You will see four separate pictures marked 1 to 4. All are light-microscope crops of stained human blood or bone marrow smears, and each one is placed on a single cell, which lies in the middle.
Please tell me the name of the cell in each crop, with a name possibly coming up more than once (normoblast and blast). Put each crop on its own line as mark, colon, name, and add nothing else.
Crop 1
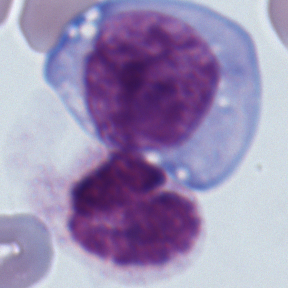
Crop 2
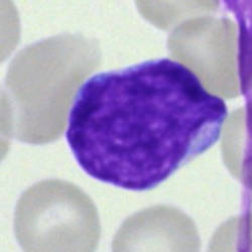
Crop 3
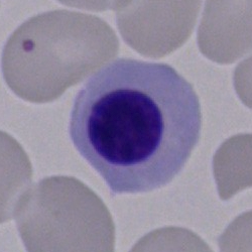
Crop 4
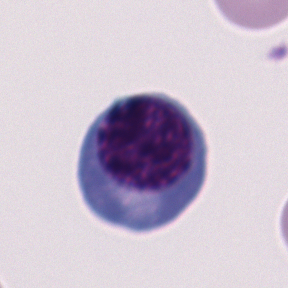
1: blast
2: blast
3: normoblast
4: normoblast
